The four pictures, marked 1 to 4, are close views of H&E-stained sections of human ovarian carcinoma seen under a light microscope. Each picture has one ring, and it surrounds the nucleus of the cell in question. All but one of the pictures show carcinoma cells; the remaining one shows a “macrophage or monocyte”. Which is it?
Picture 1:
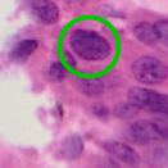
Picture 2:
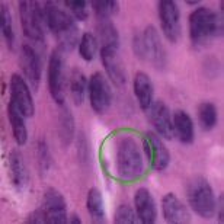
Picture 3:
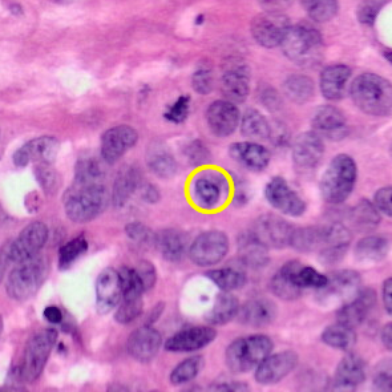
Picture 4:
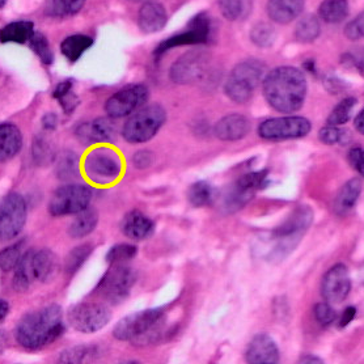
3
